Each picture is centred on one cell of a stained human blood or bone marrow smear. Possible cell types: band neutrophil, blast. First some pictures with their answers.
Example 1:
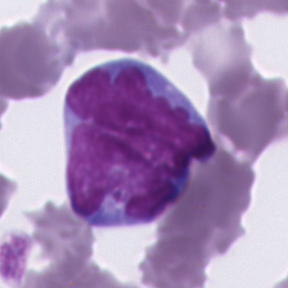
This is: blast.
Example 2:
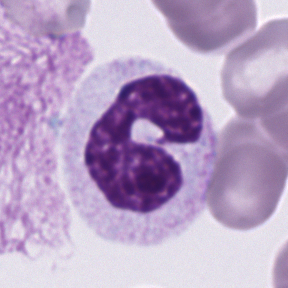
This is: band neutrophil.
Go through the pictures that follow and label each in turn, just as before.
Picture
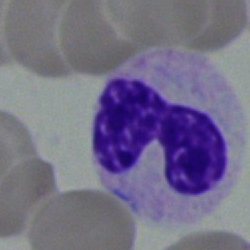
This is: band neutrophil.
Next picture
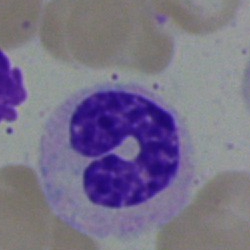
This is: band neutrophil.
